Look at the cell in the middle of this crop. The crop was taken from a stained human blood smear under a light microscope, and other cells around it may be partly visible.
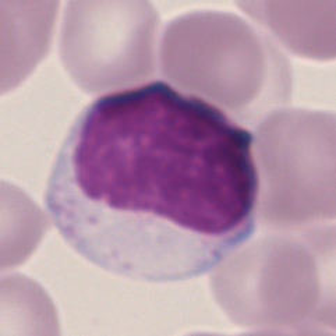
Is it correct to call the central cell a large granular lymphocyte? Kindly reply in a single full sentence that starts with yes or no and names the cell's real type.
Yes, the one cell at the centre is a large granular lymphocyte.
